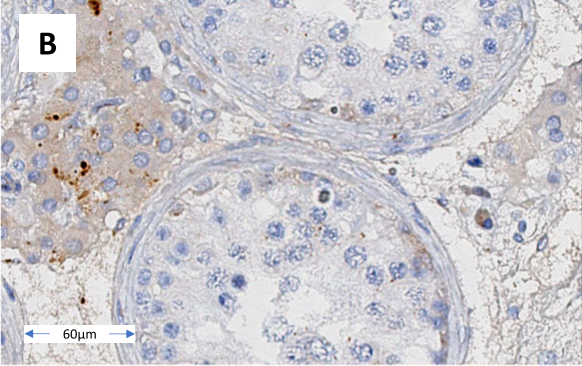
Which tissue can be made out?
seminiferous tubule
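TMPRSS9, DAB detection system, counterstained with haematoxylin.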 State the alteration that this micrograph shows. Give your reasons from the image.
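The tubules are filled with large round germ cell nuclei with coarse blue chromatin. No elongated or small condensed spermatid nuclei are seen toward the lumen. That points to this answer: spermatogenesis arrested at the spermatocyte stage.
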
